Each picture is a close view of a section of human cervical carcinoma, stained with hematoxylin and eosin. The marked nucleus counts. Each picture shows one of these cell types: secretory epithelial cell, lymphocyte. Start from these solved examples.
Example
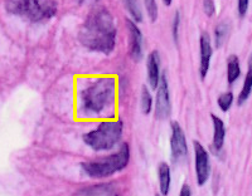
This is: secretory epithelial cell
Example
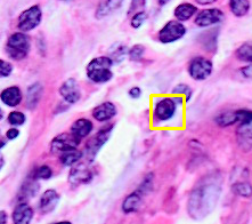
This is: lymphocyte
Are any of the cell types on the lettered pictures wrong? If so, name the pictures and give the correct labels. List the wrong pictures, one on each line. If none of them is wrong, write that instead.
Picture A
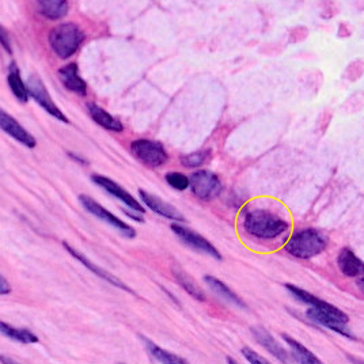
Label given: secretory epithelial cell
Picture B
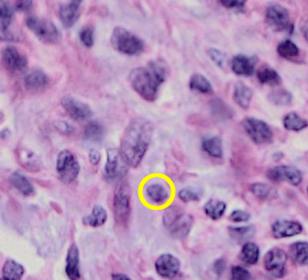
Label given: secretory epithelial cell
B: change secretory epithelial cell to lymphocyte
